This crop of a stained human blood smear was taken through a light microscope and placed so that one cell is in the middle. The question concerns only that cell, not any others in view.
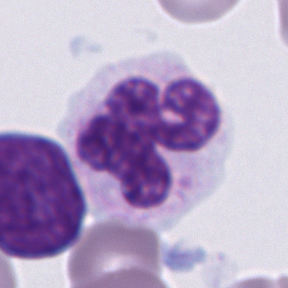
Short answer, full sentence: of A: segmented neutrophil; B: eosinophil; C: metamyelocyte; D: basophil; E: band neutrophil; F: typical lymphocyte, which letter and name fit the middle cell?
The central cell in this crop is a segmented neutrophil, corresponding to option A, the correct option.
